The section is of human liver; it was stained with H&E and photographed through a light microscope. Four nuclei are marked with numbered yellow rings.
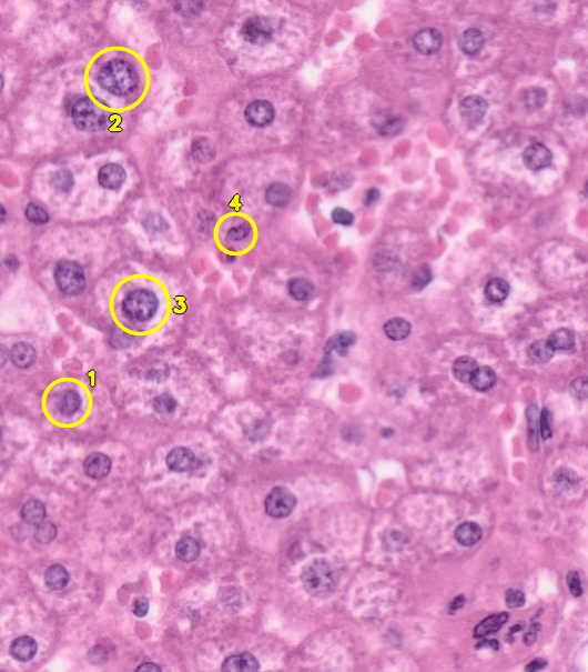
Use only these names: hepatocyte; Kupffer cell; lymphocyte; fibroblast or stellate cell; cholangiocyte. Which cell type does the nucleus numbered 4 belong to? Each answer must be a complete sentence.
Numbered cell 4 is a fibroblast or stellate cell in this tissue section.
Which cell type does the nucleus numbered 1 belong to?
The cell tagged with 1 in this tissue section is a hepatocyte.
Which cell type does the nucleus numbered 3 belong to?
Cell number 3 in this section is a hepatocyte.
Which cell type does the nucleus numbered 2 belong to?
Classified as a hepatocyte is the cell with the number 2.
